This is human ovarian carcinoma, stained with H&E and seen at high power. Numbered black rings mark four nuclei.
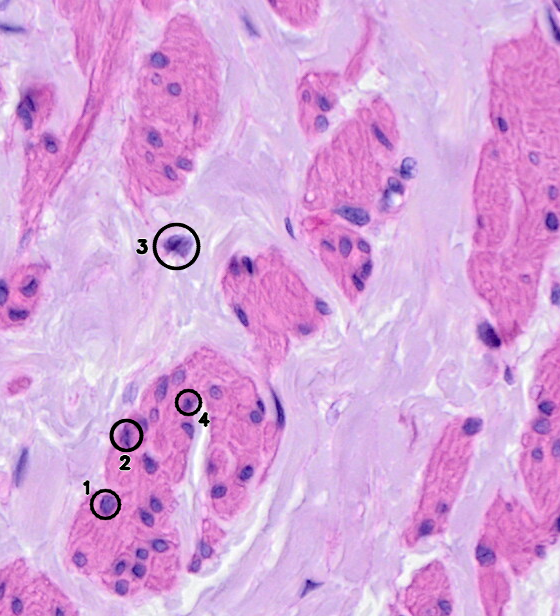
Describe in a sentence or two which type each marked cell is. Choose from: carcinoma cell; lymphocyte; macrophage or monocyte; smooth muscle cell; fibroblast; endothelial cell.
Cell 1 is a smooth muscle cell, cell 2 is a smooth muscle cell, cell 3 is a fibroblast and cell 4 is a smooth muscle cell.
